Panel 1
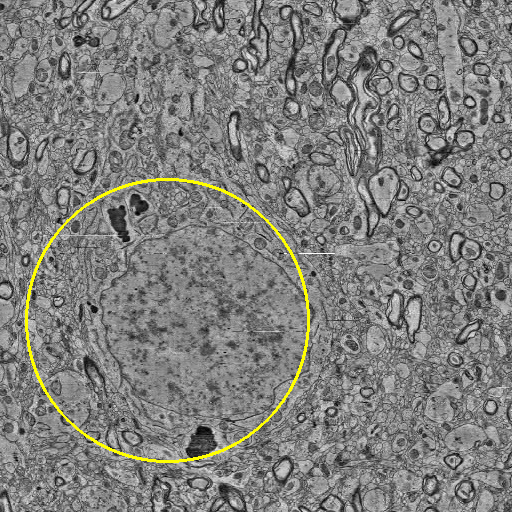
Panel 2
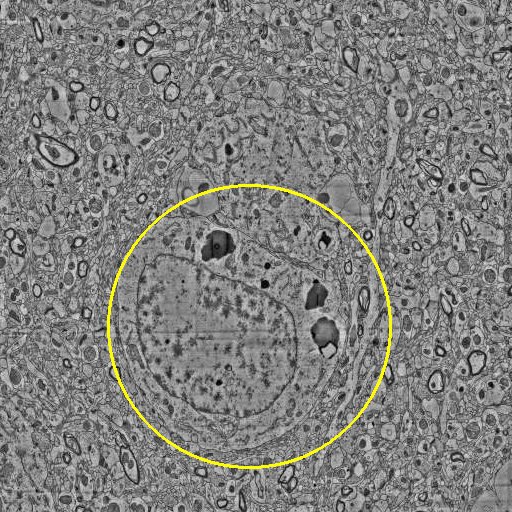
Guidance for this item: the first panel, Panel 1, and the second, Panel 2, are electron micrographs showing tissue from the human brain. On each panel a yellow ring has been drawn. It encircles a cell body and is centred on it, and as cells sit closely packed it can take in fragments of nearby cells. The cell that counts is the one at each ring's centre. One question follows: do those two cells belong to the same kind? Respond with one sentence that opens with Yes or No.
Yes, the cells at the ring centres in Panel 1 and Panel 2 are of one kind.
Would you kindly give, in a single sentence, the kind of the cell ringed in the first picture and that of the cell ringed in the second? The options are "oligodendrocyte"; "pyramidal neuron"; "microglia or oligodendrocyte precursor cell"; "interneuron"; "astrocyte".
The first and the second cell are each an interneuron.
